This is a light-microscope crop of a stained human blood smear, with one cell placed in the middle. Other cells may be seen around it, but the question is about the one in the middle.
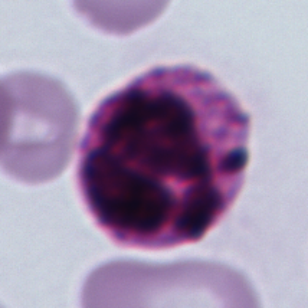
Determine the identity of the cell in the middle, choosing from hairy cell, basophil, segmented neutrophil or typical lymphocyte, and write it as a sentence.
The centrally located cell in the crop is a basophil.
